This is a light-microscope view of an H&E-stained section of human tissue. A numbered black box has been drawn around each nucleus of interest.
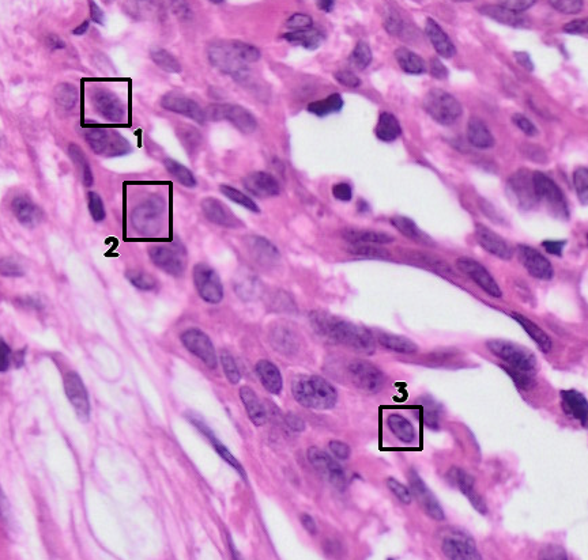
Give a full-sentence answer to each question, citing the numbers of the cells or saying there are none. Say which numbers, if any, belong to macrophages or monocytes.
Only the nucleus marked 3 is that of a macrophage or monocyte.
